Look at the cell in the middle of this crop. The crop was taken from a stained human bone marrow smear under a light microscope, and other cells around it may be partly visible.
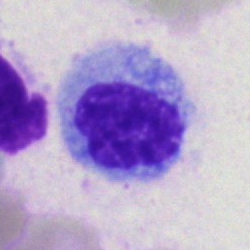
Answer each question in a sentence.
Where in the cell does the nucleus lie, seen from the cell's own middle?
Toward the bottom of the cell lies its nucleus.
